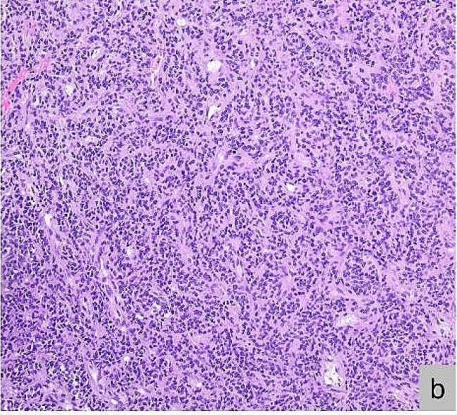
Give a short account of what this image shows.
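This is a cellular tumour at medium power, with its cells arranged in a trabecular pattern: cords and ribbons of closely set cells with dark blue oval nuclei run through the field, separated by thin pale pink strands. The cells are monotonous, with little visible cytoplasm at this magnification, and the overall impression is of a densely packed, purple-blue tissue with a vaguely interweaving cord-like architecture. A few small vessels appear as clear spaces among the cords.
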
